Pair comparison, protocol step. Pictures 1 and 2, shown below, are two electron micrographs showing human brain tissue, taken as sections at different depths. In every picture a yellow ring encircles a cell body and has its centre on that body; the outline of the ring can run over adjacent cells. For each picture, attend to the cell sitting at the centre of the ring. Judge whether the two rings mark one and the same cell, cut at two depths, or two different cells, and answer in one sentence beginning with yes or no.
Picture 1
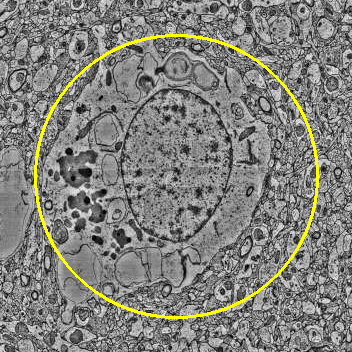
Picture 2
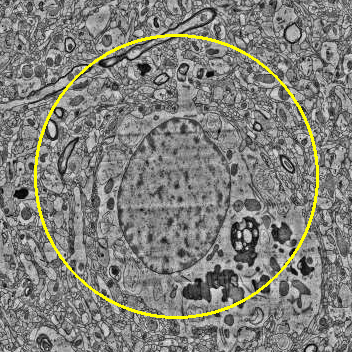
No, the two rings were placed on two different cells.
